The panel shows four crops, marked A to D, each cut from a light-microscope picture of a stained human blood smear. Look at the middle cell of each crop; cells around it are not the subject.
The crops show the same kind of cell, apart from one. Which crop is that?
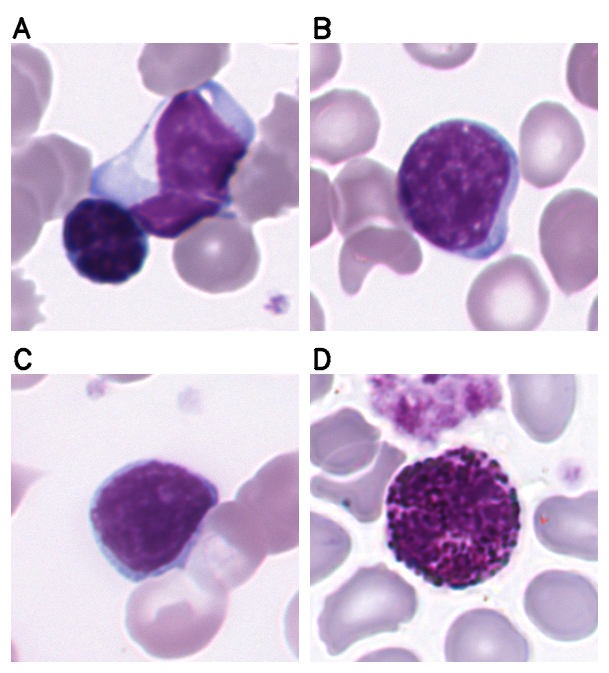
D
